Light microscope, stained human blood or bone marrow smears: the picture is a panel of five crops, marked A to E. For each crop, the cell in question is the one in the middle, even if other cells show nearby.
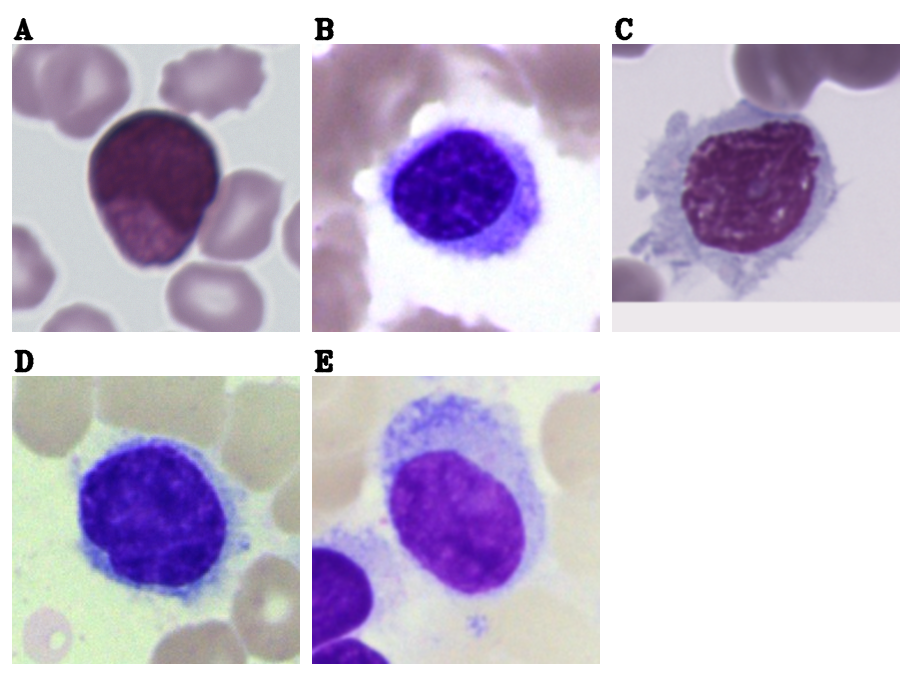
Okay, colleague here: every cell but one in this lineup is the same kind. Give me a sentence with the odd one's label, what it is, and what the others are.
Excluding crop A, which is a blast, the crops all show hairy cells.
